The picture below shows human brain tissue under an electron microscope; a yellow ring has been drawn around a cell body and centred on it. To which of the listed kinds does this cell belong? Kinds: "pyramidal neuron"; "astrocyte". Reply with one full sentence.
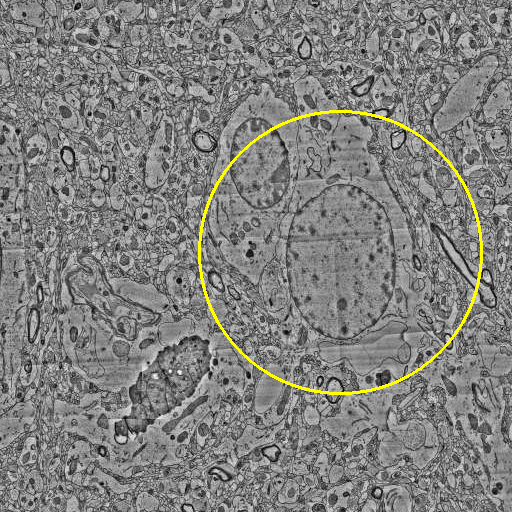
It is an astrocyte that the yellow ring in the picture is centred on.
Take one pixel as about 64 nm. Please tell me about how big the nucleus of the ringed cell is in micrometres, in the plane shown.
About 10 micrometres by about 7 micrometres in this plane.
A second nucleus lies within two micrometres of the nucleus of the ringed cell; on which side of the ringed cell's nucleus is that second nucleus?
That nucleus lies to the upper left of it.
